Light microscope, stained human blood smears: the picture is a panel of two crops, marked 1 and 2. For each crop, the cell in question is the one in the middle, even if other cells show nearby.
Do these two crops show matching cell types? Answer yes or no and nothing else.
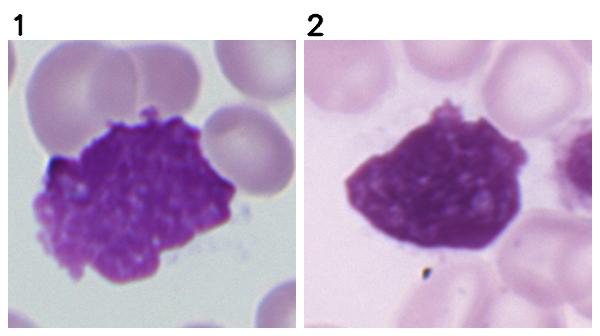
yes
